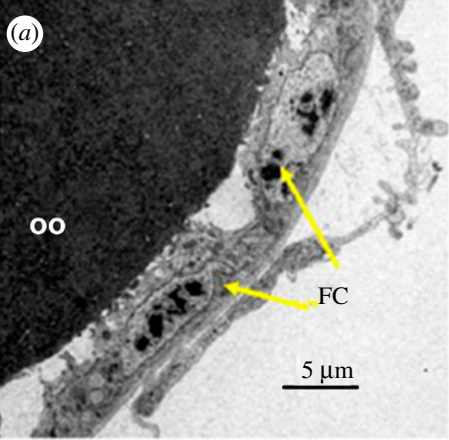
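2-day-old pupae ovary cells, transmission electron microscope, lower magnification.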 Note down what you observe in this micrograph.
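A thin layer of flattened cells lies against the edge of a large, very dark oocyte. The cells are elongated along the oocyte surface, each with a nucleus holding dark clumps of condensed chromatin, and slender processes reach out into the pale space beyond.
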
